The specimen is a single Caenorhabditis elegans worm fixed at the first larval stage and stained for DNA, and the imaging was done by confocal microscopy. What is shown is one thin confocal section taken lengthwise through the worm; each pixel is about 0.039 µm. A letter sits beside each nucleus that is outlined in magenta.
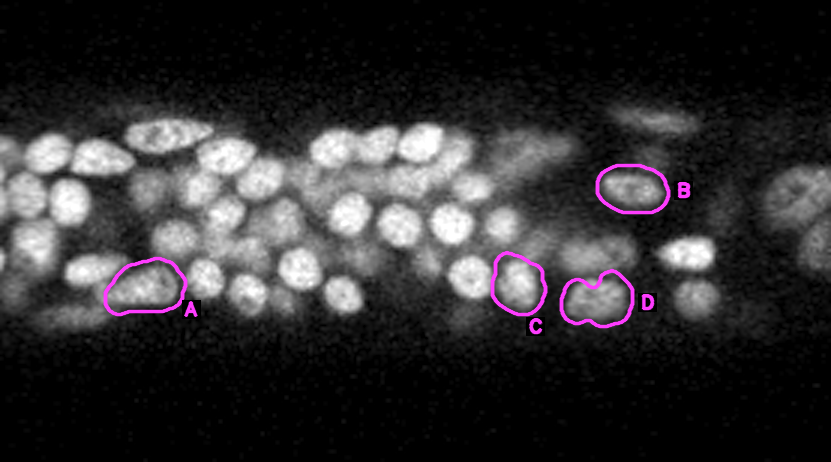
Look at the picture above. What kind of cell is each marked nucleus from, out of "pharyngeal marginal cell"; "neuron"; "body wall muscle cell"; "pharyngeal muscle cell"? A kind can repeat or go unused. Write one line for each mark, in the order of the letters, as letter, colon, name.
A: body wall muscle cell
B: pharyngeal marginal cell
C: neuron
D: body wall muscle cell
